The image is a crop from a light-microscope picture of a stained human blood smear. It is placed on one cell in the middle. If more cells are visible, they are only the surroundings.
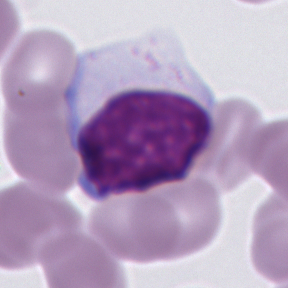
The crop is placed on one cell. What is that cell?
large granular lymphocyte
